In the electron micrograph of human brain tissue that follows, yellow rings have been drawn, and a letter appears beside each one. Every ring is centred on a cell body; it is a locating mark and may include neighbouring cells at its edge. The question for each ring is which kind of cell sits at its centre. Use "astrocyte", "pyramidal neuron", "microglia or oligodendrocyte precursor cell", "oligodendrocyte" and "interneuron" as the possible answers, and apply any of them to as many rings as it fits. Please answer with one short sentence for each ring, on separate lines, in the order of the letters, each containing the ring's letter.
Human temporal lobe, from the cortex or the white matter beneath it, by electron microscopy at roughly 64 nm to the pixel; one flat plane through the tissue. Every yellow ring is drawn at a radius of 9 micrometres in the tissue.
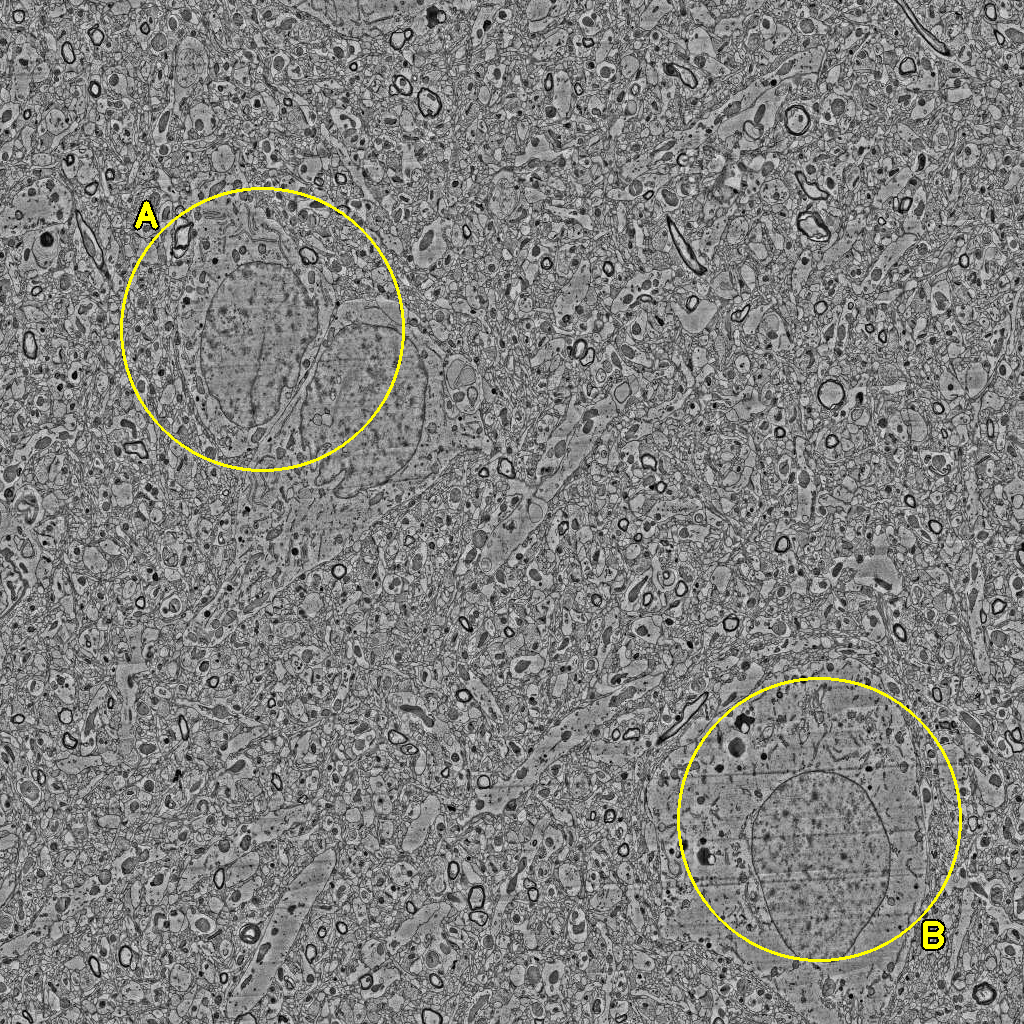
Sitting at the centre of ring A is an interneuron.
Sitting at the centre of ring B is a pyramidal neuron.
